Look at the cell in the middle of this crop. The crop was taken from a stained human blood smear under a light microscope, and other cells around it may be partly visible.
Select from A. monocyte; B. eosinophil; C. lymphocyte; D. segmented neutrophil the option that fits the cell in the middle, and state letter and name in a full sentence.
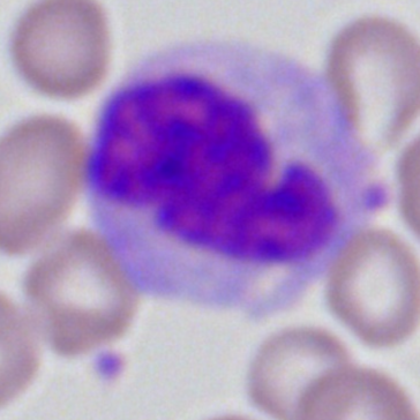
Option A is the keyed answer: the cell in the middle is a monocyte.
